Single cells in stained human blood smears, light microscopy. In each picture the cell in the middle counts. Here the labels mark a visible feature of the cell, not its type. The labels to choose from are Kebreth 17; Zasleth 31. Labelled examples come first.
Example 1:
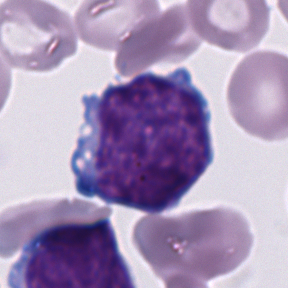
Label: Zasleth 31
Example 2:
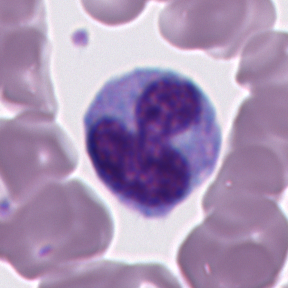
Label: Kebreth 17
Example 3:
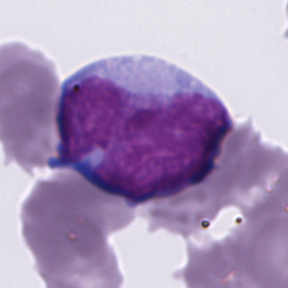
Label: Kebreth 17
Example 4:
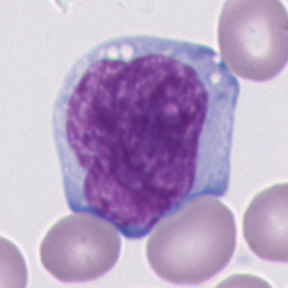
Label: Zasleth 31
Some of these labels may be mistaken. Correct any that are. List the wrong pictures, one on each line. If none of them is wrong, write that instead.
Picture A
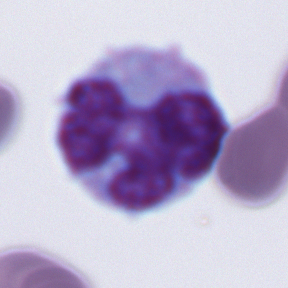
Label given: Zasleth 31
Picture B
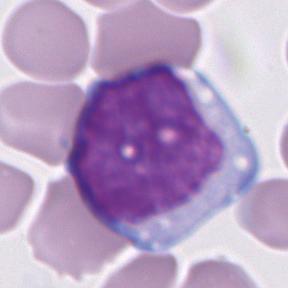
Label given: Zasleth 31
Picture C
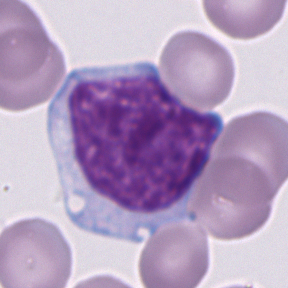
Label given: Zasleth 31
A is labelled Zasleth 31; correct label: Kebreth 17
